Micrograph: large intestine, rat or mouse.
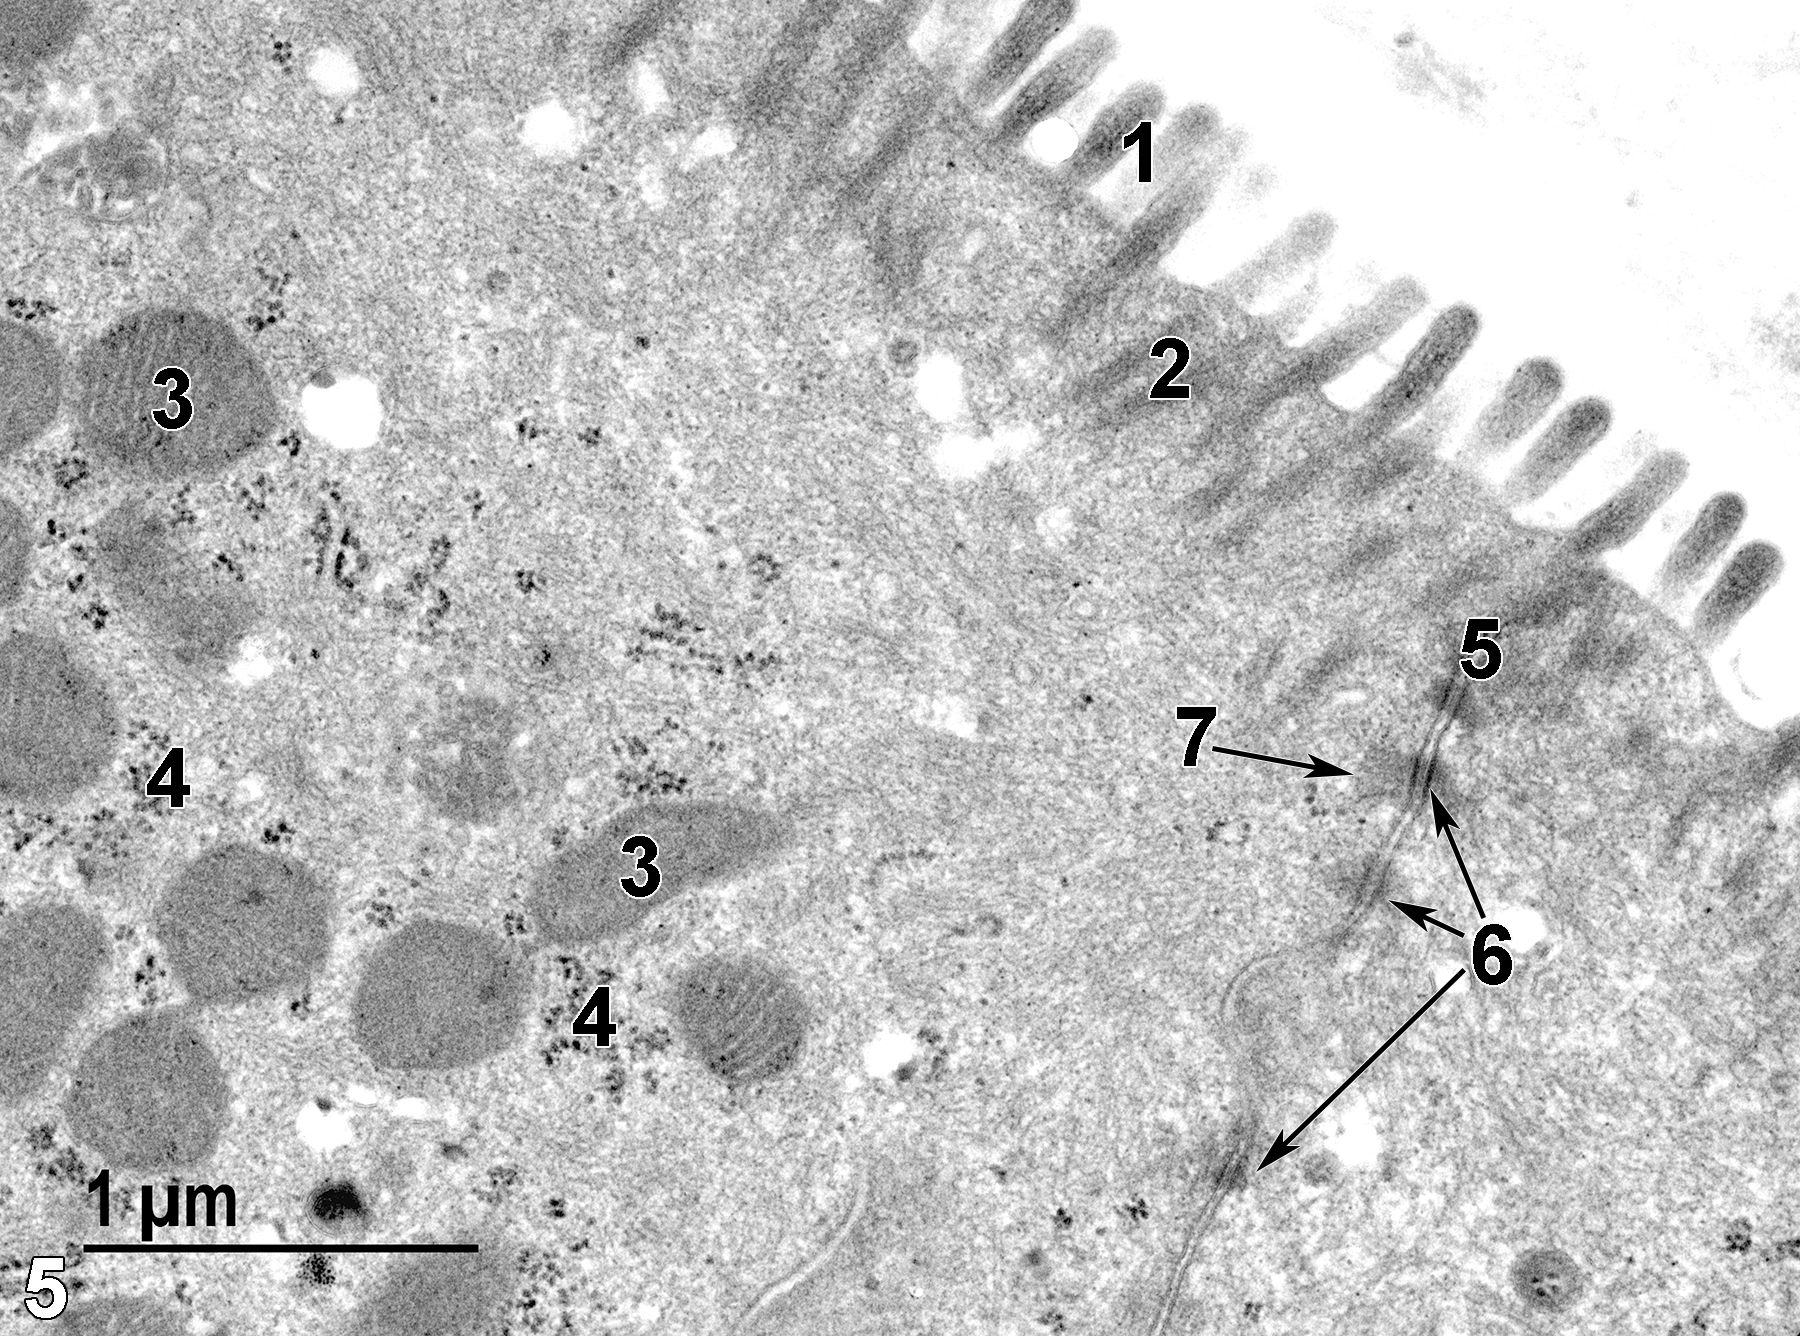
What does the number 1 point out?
microvilli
